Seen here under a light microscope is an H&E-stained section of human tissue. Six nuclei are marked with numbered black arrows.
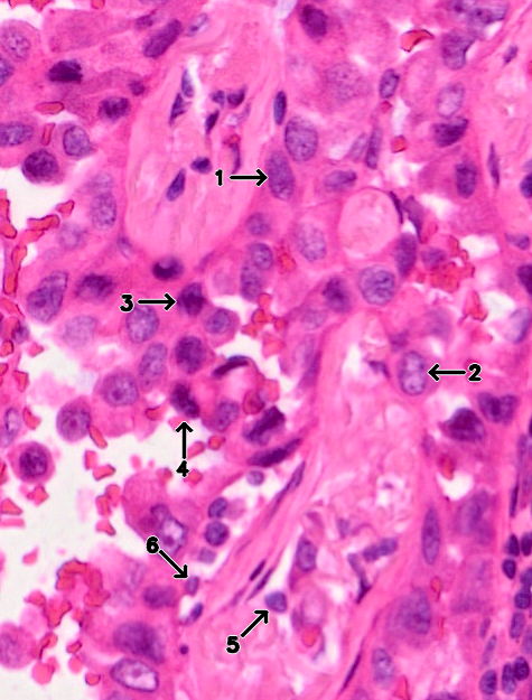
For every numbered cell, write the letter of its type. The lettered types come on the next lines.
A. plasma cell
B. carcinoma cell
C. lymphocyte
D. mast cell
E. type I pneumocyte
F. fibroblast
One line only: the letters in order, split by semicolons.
B; B; B; B; C; C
